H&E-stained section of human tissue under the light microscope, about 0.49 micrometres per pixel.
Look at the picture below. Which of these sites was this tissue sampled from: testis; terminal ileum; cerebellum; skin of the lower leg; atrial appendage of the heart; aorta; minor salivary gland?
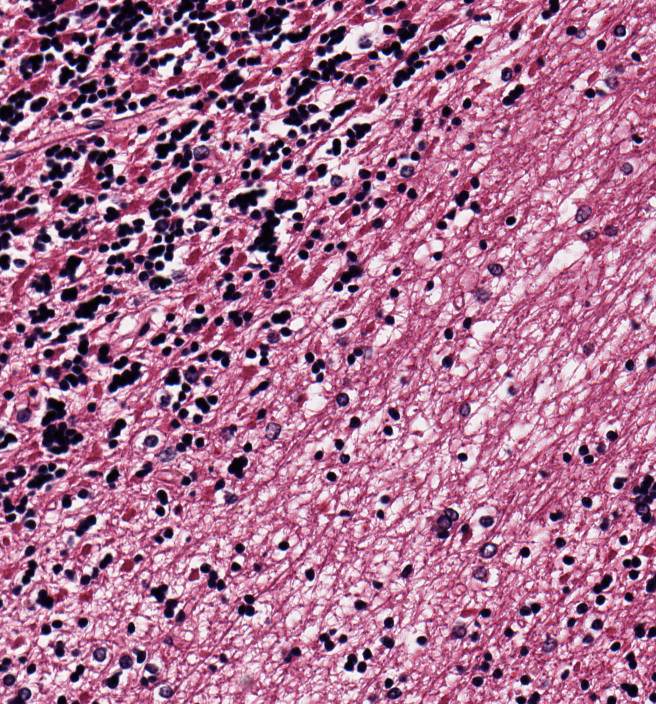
cerebellum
